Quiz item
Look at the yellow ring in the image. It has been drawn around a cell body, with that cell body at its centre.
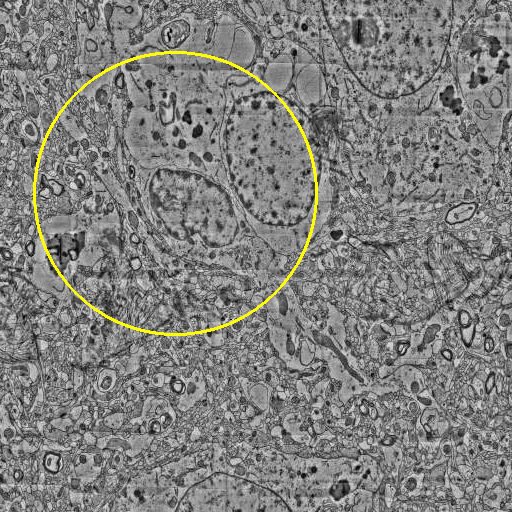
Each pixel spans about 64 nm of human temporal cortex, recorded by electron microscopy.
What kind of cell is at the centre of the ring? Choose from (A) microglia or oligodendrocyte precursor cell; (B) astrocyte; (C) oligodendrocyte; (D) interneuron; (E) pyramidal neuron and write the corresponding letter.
A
